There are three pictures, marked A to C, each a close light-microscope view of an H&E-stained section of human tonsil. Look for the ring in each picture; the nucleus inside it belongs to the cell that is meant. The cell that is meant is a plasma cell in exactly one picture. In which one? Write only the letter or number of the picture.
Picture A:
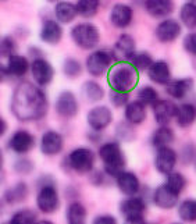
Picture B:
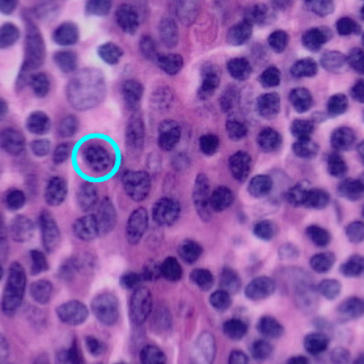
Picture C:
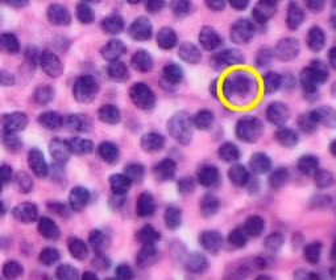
B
